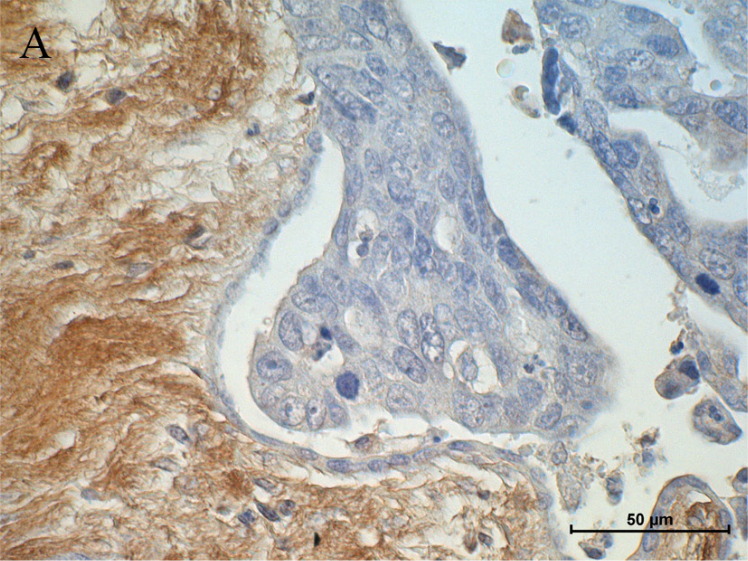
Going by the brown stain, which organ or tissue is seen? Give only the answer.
Stroma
